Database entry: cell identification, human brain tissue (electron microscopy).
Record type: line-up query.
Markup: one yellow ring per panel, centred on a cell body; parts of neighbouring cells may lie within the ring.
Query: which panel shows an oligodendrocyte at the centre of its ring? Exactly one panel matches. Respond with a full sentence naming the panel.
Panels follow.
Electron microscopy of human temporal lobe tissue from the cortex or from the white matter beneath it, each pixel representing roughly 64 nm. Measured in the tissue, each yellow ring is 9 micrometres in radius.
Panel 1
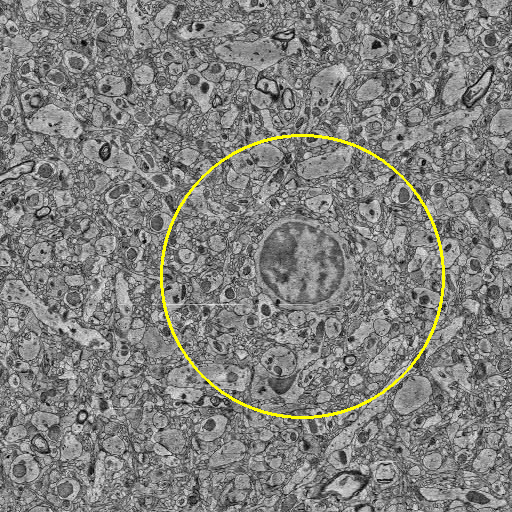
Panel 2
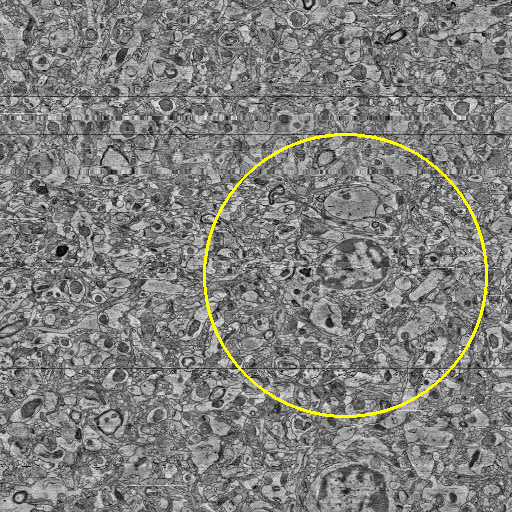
Panel 1 shows it at the centre of the ring.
